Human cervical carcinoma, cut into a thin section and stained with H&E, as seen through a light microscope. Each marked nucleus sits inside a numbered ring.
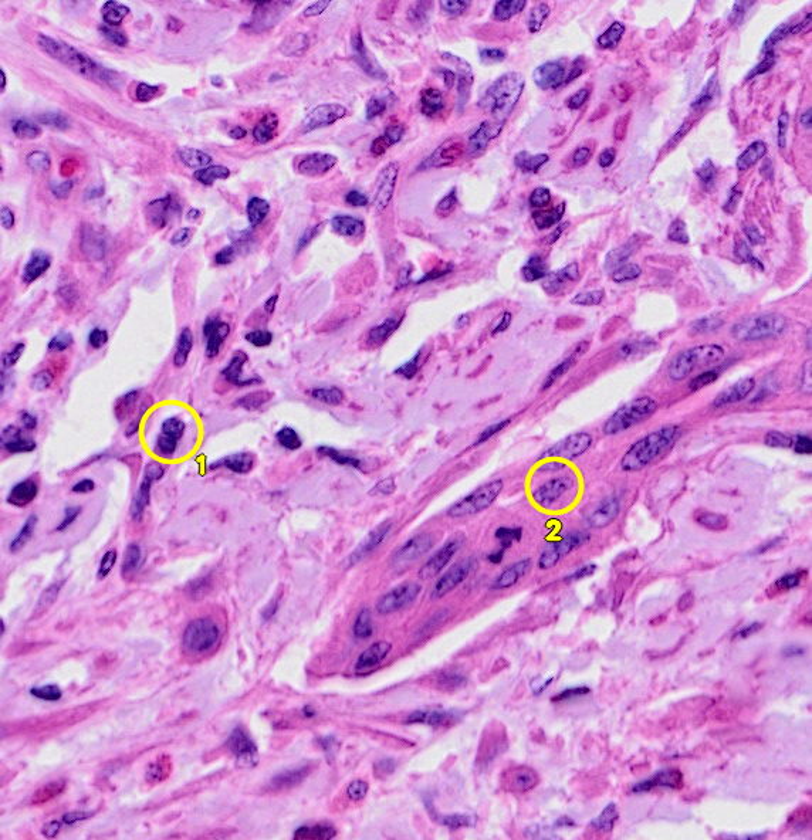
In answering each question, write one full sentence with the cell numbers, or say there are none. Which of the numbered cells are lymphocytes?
Among the numbered cells, a lymphocyte occurs only once, as cell 1.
